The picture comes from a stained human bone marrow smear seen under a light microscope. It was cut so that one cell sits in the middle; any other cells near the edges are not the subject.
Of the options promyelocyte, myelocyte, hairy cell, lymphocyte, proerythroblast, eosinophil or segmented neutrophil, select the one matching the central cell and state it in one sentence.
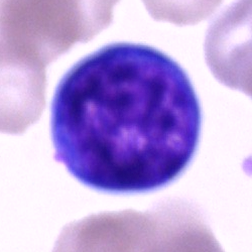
The cell nearest the centre of this crop is a proerythroblast.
